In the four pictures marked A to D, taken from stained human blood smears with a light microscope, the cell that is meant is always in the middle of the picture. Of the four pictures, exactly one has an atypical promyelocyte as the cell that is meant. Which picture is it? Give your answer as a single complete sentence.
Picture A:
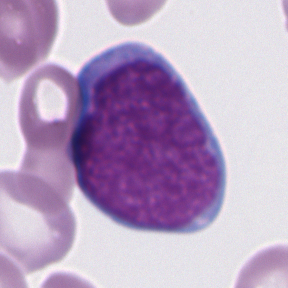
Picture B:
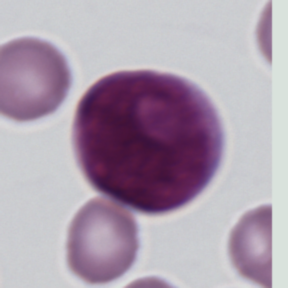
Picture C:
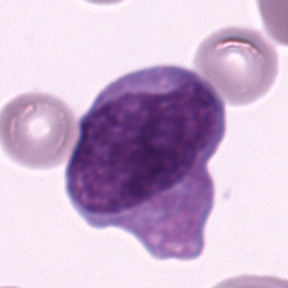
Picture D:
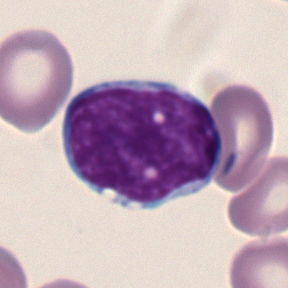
The atypical promyelocyte is the one in picture C.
